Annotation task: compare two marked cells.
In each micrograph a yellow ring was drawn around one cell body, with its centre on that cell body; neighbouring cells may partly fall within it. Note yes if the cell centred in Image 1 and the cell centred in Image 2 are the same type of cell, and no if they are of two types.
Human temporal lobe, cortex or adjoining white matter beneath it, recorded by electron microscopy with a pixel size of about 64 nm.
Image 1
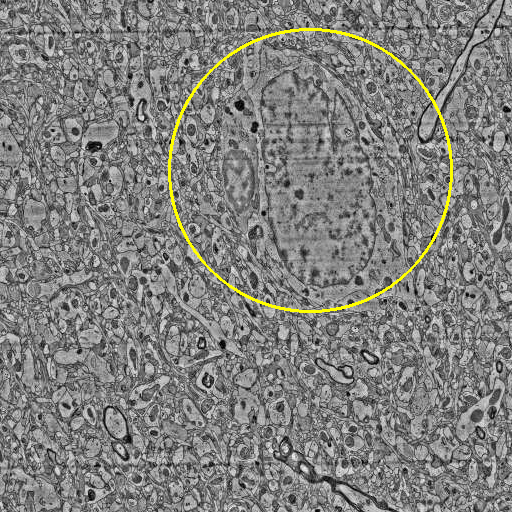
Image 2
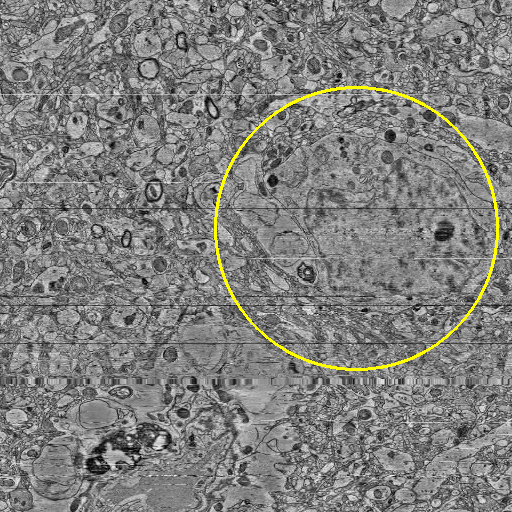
yes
